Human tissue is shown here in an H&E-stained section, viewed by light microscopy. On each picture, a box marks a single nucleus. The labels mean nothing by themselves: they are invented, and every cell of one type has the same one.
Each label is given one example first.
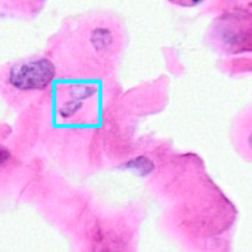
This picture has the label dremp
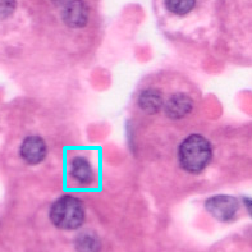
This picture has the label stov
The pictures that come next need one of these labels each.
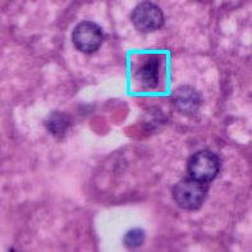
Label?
stov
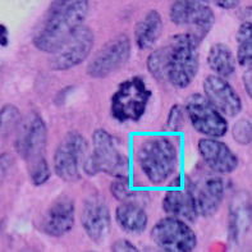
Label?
dremp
